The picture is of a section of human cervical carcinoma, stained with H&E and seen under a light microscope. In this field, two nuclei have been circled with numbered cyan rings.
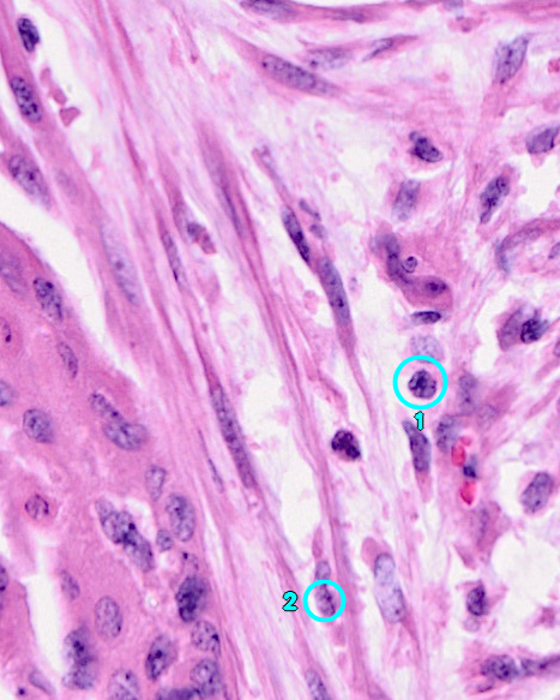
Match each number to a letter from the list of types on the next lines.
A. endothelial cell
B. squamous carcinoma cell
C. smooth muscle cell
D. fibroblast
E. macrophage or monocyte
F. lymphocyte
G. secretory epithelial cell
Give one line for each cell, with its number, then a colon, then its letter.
1: F
2: E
